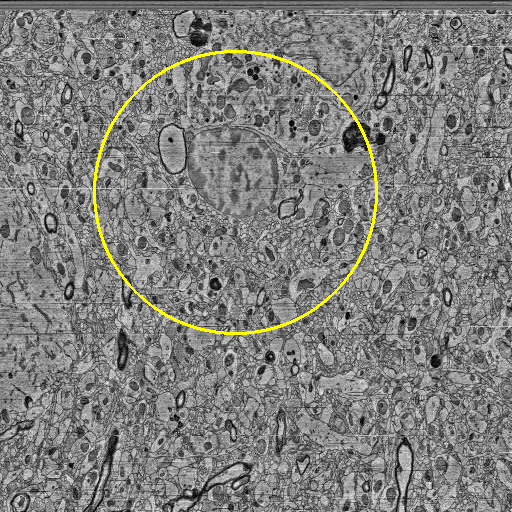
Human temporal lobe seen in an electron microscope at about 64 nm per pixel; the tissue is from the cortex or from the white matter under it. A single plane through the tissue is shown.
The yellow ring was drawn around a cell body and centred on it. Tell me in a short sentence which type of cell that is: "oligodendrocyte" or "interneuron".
The cell at the ring's centre is an oligodendrocyte.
